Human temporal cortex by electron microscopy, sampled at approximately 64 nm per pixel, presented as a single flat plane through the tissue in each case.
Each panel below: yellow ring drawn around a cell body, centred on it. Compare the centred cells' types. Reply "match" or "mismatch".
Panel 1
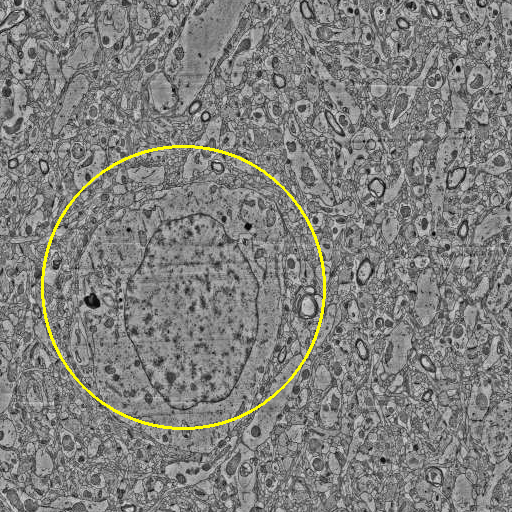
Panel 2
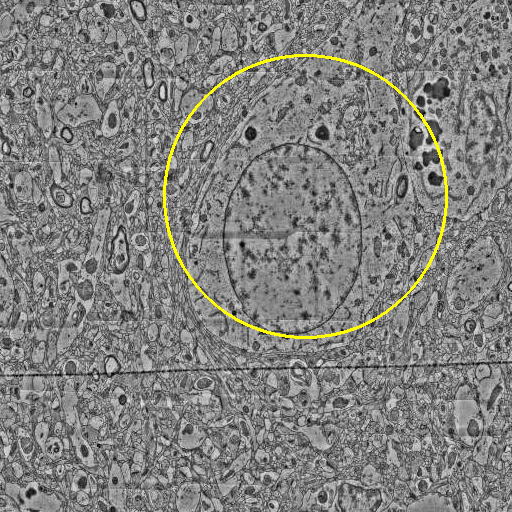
match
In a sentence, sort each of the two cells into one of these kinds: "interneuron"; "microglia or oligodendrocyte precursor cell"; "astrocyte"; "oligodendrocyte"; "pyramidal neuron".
In the first picture and in the second, the ring is centred on a pyramidal neuron.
